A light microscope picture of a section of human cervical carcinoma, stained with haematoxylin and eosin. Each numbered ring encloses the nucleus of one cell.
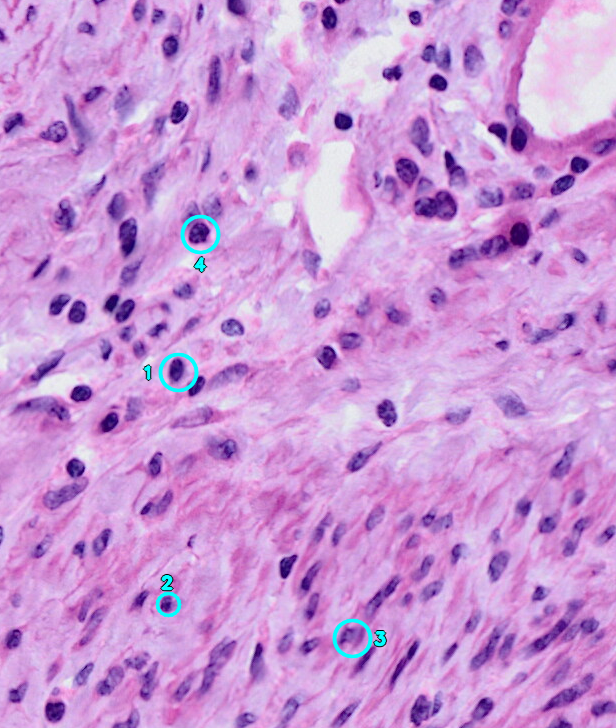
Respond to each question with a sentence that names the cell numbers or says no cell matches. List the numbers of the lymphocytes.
Regarding the numbered cells 1 and 4, these are lymphocytes.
